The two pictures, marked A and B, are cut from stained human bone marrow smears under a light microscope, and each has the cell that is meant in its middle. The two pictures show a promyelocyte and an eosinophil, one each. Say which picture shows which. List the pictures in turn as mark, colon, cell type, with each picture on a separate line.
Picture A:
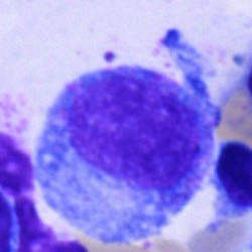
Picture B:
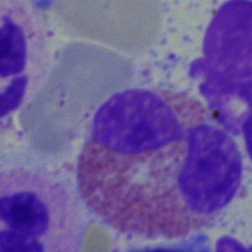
A: promyelocyte
B: eosinophil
